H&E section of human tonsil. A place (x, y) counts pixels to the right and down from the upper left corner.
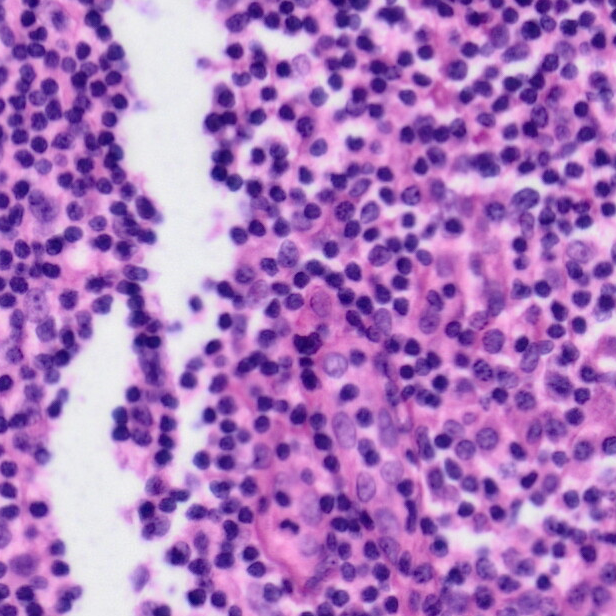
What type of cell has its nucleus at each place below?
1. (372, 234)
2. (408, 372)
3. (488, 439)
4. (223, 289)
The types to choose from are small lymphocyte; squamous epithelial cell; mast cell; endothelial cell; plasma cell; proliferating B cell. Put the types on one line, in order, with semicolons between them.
small lymphocyte; small lymphocyte; plasma cell; small lymphocyte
